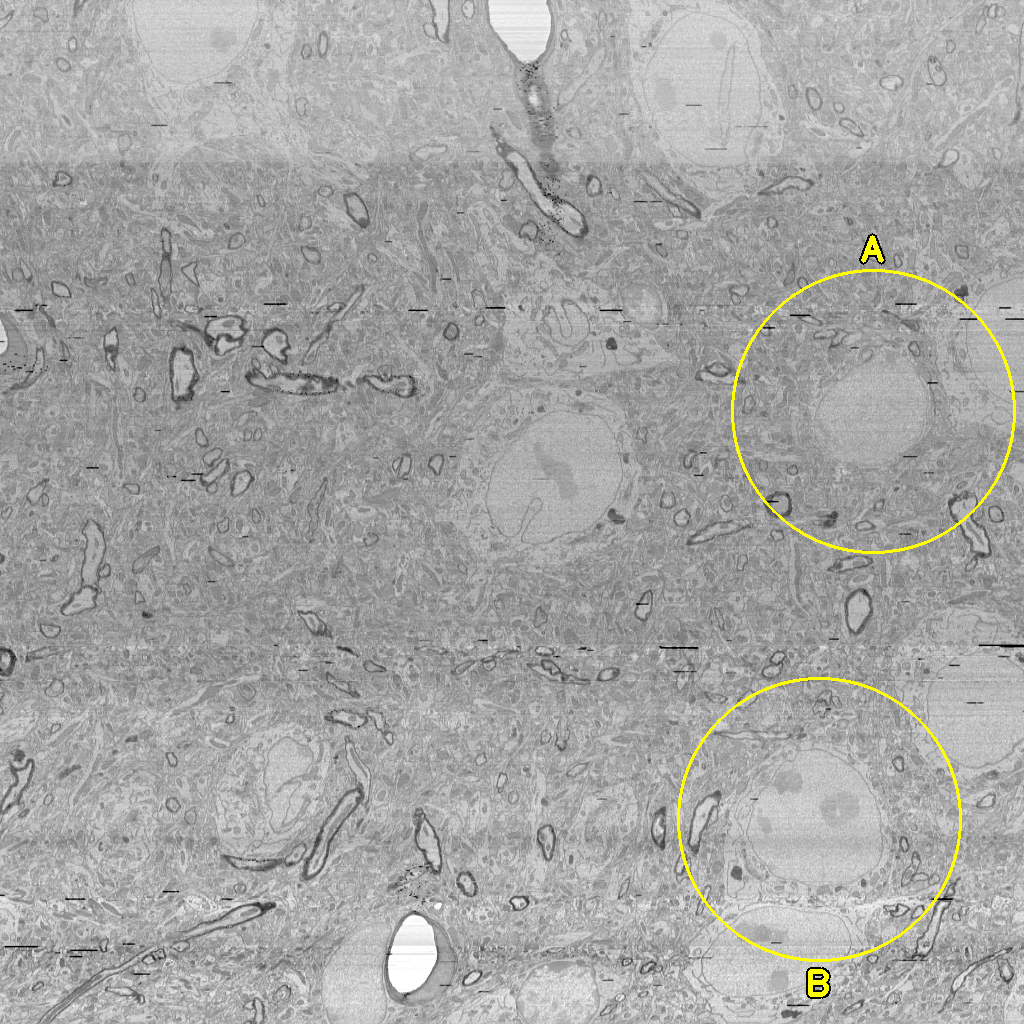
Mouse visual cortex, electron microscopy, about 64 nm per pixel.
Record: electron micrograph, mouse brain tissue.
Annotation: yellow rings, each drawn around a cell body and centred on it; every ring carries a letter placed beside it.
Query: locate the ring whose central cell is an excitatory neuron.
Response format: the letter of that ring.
B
